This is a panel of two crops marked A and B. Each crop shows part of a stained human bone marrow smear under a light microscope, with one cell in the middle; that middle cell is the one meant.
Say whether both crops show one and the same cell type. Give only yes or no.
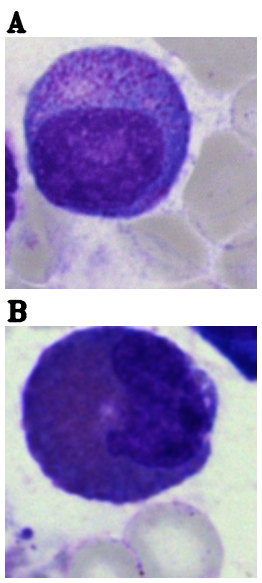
no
